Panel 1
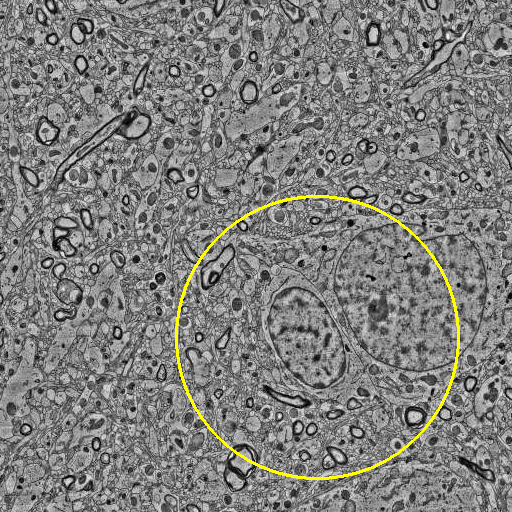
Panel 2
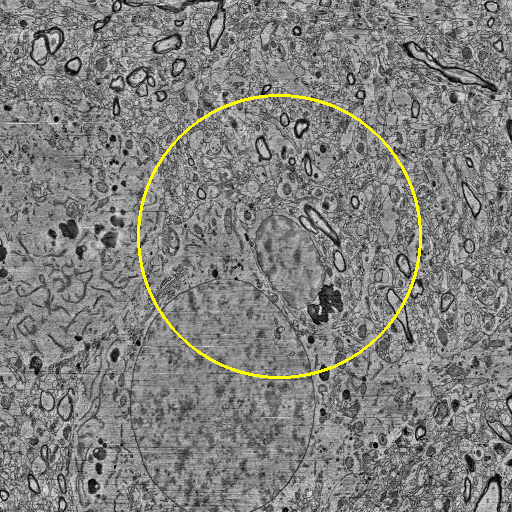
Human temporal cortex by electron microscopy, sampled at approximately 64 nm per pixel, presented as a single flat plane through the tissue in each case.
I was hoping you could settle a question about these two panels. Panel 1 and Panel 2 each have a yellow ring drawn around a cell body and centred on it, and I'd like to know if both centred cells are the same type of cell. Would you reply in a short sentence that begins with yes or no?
No, they are two types of cell.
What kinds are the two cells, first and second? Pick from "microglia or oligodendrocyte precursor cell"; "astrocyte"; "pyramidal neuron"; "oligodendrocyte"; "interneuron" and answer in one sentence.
The second picture holds an oligodendrocyte in its ring, and the first holds a microglial cell or oligodendrocyte precursor cell.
